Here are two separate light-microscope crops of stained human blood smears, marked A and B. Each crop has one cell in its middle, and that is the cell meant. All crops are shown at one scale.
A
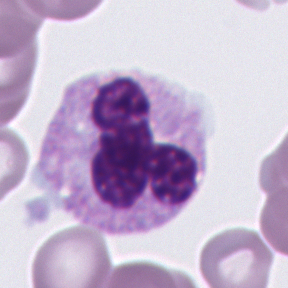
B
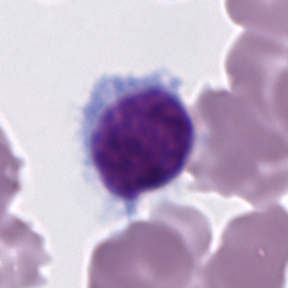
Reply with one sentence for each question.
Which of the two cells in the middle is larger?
The cell in crop A is larger, with about 1.5 times the area of the one in crop B.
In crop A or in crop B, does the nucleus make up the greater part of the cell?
Of the two, the nucleus in crop B makes up the greater part of its cell.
